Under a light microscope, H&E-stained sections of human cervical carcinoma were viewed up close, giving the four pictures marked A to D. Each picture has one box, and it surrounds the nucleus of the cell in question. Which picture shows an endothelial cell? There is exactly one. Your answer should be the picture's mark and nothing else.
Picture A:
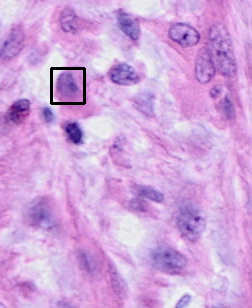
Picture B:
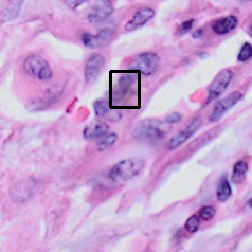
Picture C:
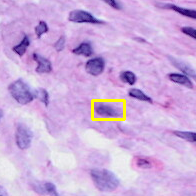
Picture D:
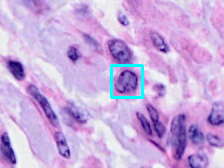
B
